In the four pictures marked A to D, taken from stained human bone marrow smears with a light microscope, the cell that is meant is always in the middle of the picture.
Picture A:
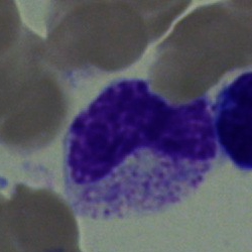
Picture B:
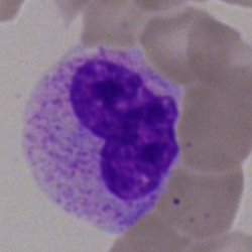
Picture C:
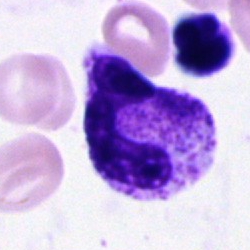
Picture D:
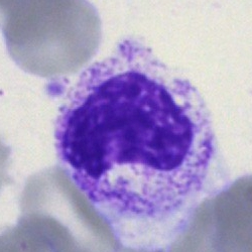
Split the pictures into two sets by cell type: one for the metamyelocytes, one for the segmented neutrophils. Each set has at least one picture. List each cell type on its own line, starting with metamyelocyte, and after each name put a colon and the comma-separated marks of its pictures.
metamyelocyte: A, B, D
segmented neutrophil: C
